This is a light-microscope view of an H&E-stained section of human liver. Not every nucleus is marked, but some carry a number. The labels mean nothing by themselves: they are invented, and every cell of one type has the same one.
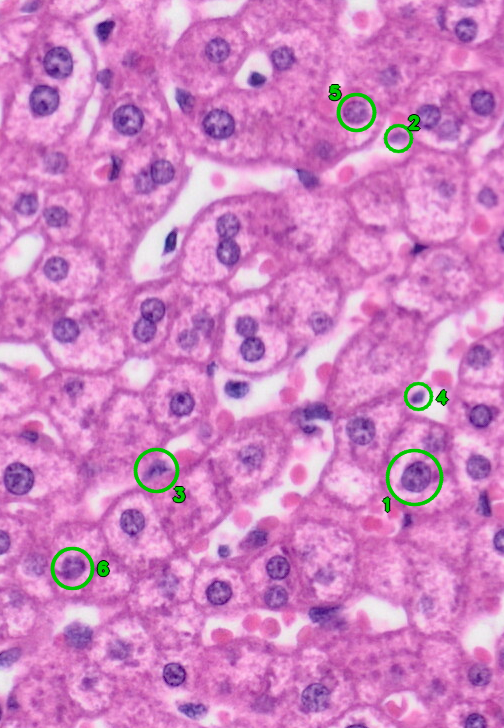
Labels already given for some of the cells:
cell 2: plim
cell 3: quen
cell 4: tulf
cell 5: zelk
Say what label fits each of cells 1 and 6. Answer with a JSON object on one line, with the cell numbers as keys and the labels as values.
{"1": "zelk", "6": "zelk"}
